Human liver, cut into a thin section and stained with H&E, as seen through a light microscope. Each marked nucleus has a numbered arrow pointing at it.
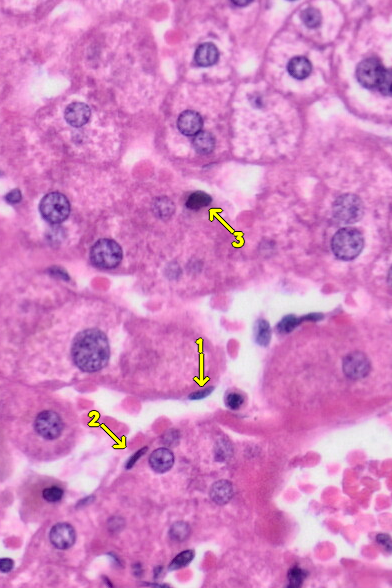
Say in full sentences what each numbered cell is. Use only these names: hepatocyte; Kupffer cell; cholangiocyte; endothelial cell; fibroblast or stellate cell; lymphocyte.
Cell 1 is an endothelial cell, cell 2 is a fibroblast or stellate cell and cell 3 is a Kupffer cell.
